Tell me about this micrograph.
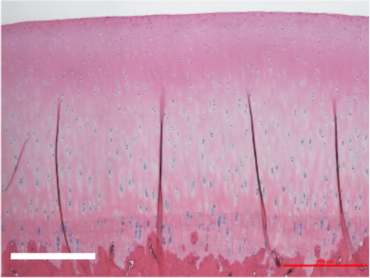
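Articular cartilage with a smooth, continuous surface over a thick layer of pink matrix. Small chondrocytes sit in lacunae scattered through the matrix, and the cartilage rests on bright pink subchondral bone at the bottom.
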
